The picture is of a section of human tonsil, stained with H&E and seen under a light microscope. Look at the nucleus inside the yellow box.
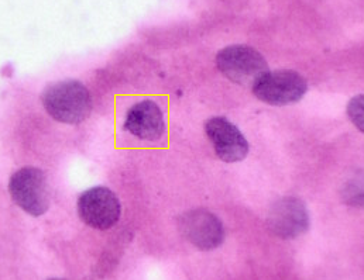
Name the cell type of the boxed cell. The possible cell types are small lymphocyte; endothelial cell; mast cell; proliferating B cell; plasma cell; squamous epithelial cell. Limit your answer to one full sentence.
It is a squamous epithelial cell that the boxed cell represents.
